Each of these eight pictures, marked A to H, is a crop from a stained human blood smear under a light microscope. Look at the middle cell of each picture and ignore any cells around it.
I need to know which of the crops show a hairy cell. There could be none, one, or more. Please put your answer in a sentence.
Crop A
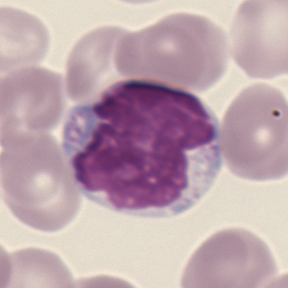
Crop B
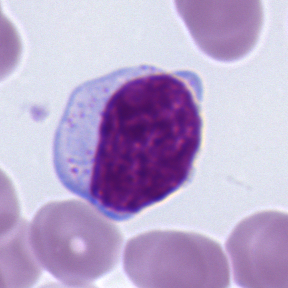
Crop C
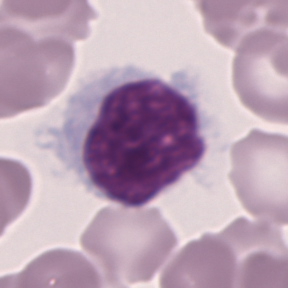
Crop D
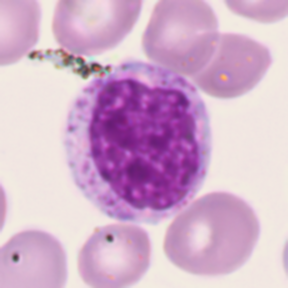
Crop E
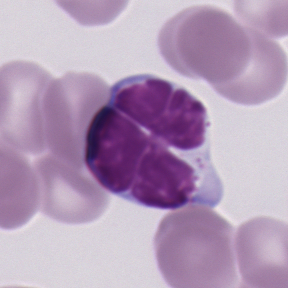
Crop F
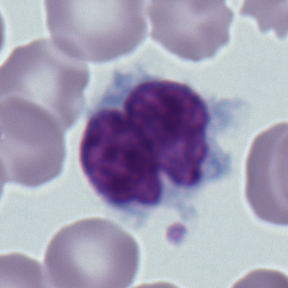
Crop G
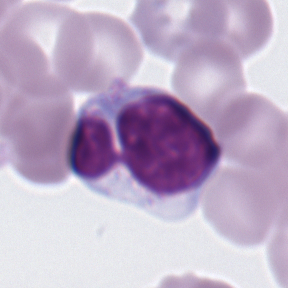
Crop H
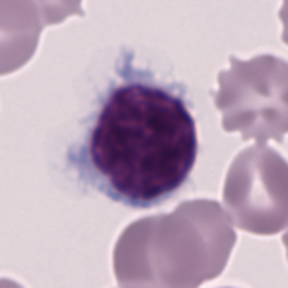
The cells in crops C, F and H are hairy cells.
